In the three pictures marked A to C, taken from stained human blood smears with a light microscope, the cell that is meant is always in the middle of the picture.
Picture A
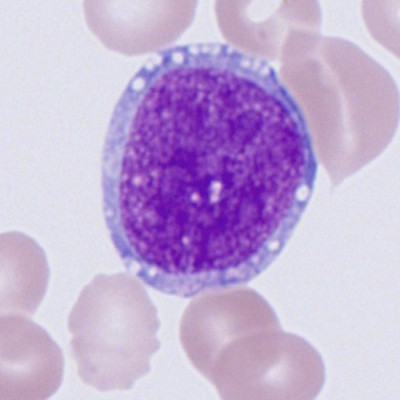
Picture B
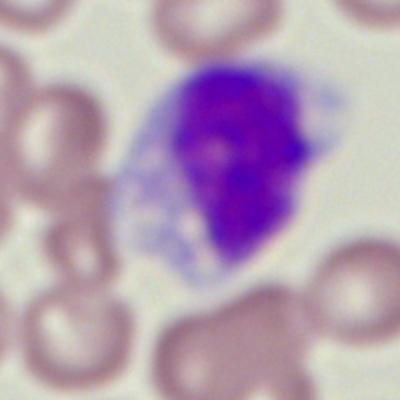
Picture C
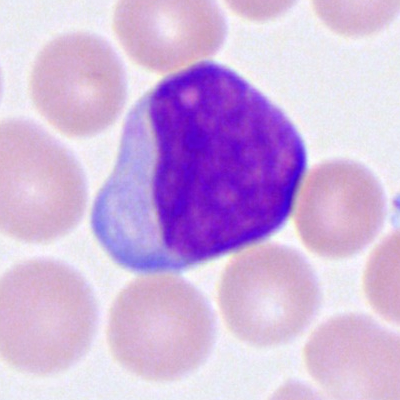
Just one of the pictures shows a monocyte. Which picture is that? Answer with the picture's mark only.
B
